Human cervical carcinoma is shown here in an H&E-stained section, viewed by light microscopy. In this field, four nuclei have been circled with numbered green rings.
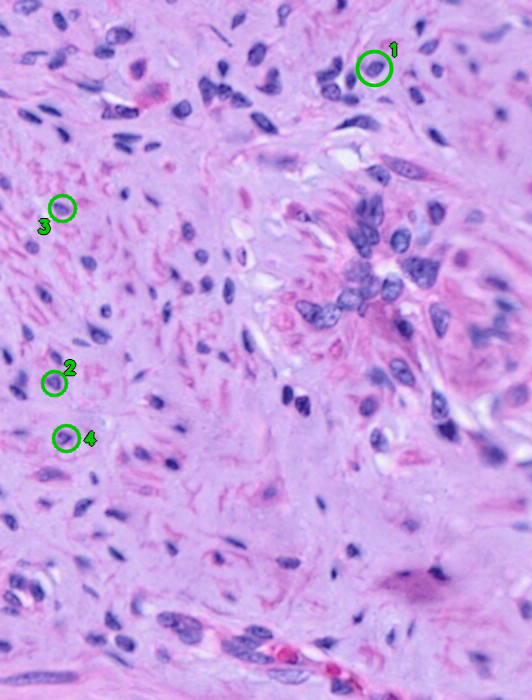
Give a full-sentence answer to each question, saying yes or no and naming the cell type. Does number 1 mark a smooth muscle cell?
No, the cell identified by number 1 is a fibroblast, not a smooth muscle cell.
